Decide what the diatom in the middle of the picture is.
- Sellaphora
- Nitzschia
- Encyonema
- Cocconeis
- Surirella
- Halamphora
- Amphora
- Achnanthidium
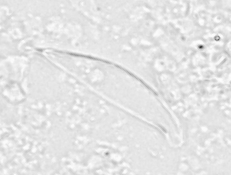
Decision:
Halamphora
